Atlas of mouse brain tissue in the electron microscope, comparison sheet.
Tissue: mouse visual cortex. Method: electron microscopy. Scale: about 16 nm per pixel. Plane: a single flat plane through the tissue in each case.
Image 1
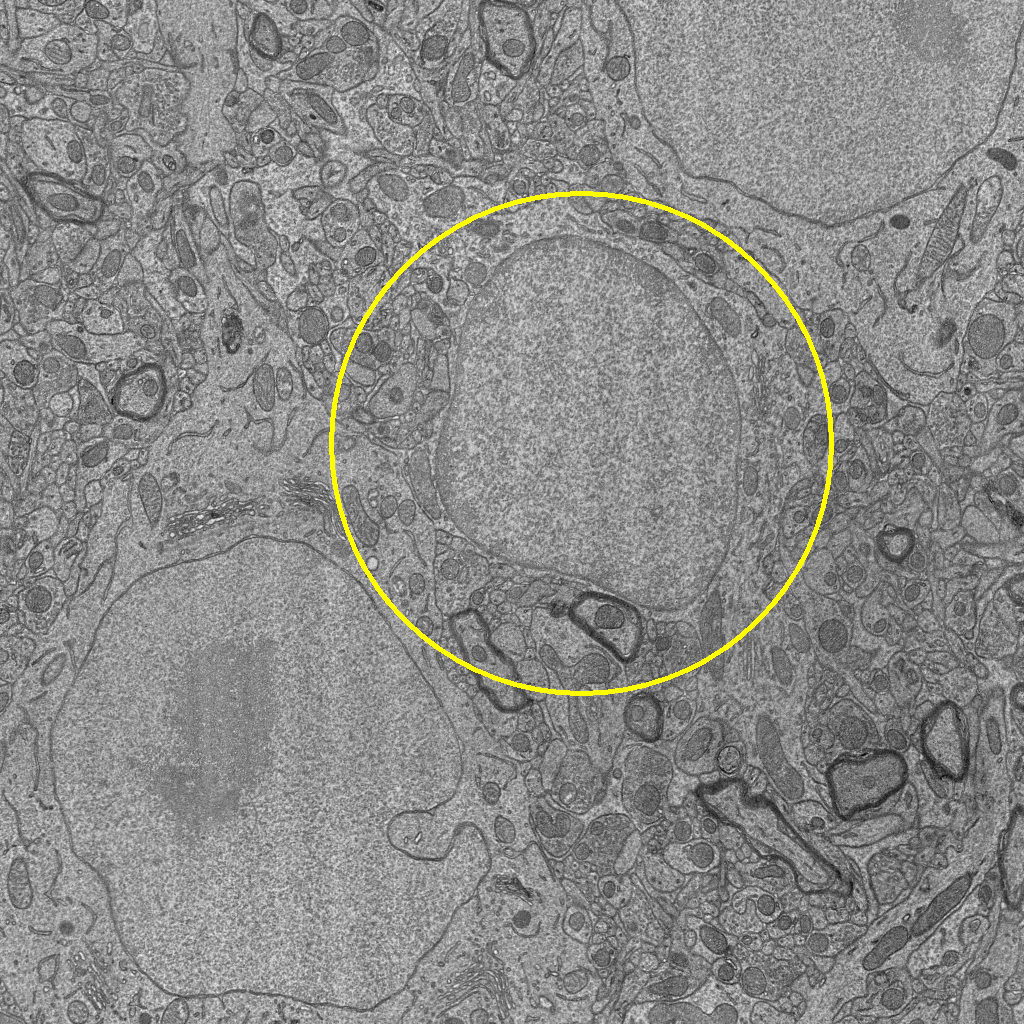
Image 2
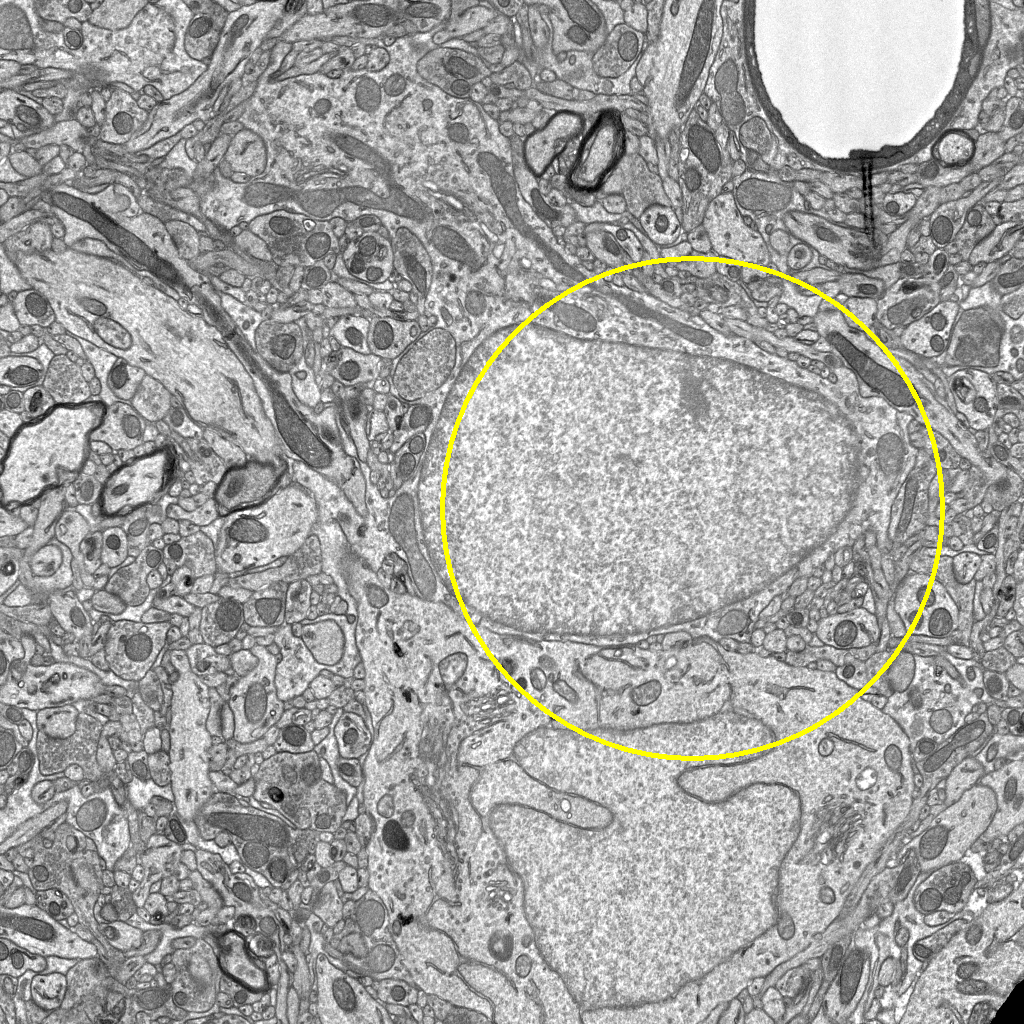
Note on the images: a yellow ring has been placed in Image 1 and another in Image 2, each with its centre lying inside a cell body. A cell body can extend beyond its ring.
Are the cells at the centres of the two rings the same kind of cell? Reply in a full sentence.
Yes, both cells are of the same kind.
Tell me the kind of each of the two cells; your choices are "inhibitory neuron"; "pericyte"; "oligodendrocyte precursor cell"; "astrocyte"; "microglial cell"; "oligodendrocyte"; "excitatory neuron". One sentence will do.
The ring centre holds an astrocyte in each of the two pictures.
